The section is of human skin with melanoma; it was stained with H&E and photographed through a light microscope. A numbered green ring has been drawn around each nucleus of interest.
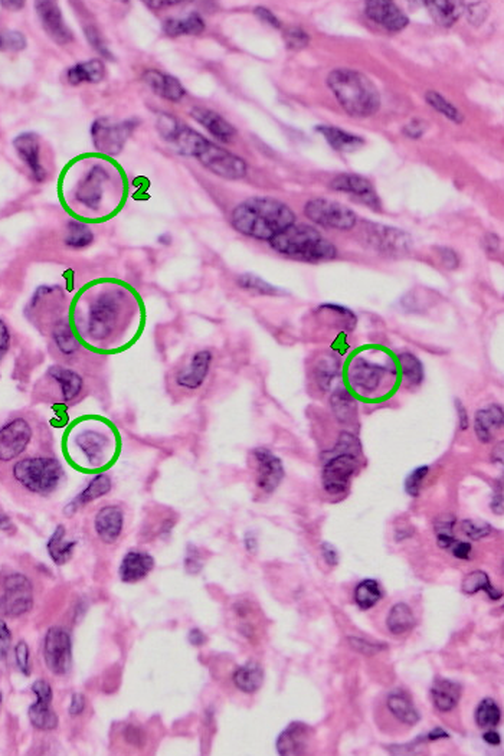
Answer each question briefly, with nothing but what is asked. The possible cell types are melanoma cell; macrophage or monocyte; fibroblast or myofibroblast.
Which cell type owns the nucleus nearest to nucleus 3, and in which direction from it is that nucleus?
a macrophage or monocyte; below nucleus 3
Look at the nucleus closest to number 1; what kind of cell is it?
melanoma cell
